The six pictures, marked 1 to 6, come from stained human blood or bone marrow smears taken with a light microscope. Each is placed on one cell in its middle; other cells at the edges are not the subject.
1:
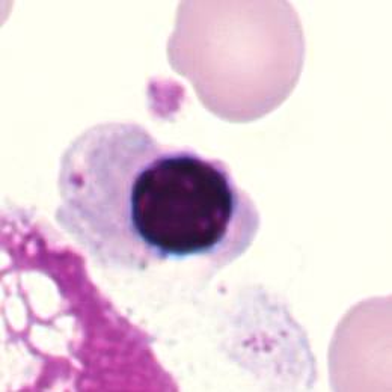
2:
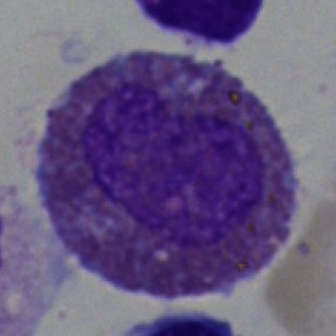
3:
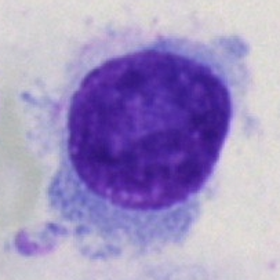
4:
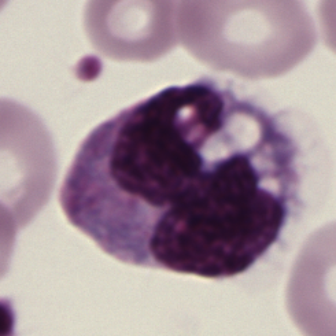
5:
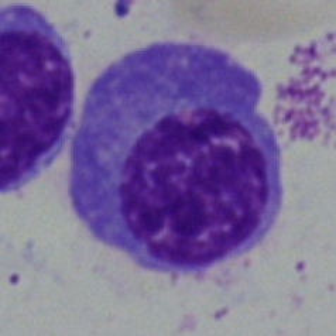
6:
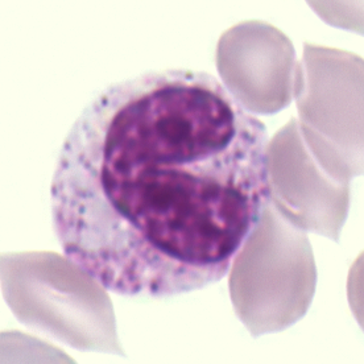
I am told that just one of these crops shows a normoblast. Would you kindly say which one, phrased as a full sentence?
The requested cell, a normoblast, is the one in crop 1.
